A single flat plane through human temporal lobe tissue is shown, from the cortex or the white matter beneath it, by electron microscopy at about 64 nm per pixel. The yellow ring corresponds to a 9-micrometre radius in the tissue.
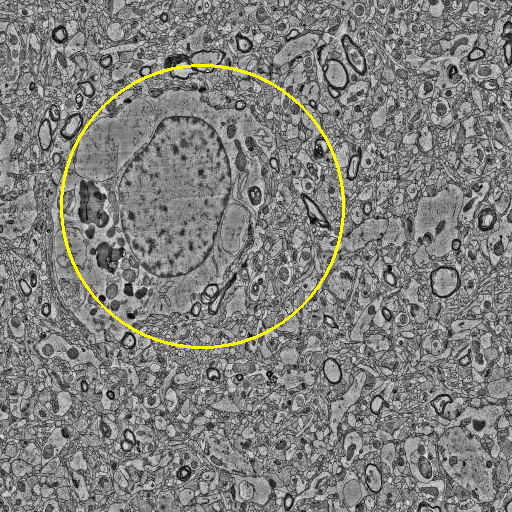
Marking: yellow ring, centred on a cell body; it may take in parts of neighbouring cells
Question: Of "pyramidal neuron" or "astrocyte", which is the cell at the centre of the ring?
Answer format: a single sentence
The ring surrounds the body of an astrocyte.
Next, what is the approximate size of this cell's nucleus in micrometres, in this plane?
The nucleus has a long axis of about 10 micrometres and a short axis of about 7 micrometres in this plane.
